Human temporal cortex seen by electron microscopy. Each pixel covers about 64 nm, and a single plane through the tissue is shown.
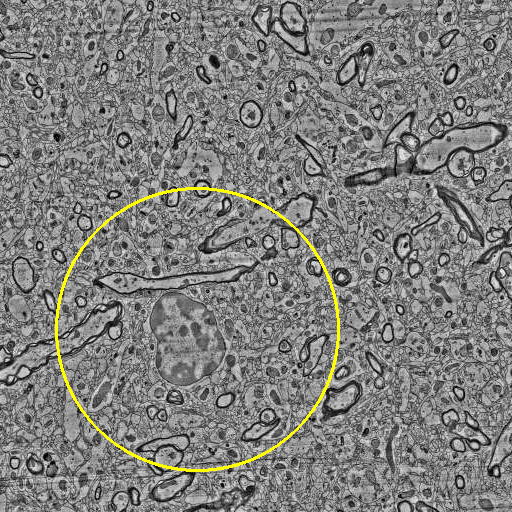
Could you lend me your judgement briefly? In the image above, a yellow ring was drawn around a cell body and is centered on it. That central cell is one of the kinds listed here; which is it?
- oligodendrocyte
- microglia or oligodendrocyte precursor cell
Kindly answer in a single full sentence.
Going by the list, a microglial cell or oligodendrocyte precursor cell is the kind at the ring's center in the picture.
